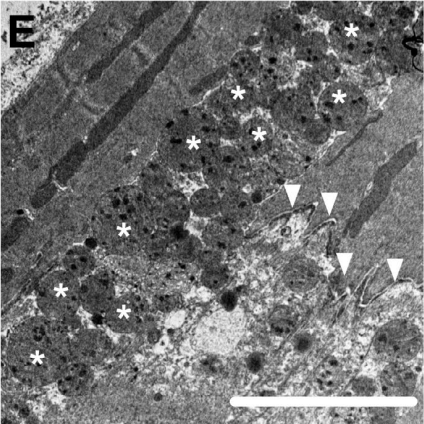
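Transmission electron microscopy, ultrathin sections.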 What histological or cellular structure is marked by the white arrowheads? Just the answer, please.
intercalated discs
